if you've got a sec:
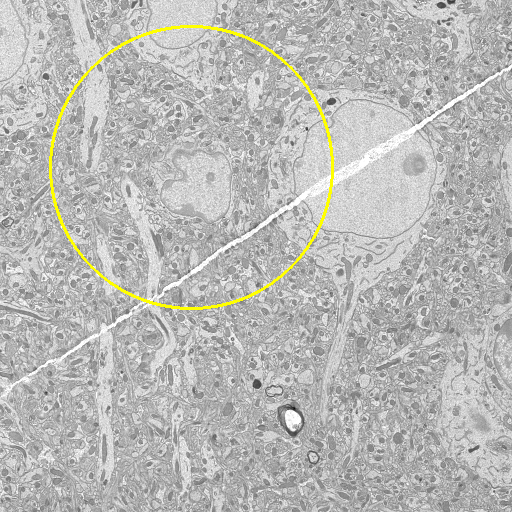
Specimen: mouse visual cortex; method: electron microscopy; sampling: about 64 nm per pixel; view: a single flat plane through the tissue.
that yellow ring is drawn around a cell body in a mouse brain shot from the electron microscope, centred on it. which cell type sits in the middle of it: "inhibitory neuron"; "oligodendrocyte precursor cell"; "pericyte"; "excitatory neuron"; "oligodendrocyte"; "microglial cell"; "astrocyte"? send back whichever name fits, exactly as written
oligodendrocyte precursor cell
